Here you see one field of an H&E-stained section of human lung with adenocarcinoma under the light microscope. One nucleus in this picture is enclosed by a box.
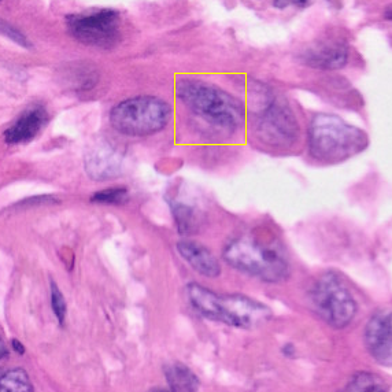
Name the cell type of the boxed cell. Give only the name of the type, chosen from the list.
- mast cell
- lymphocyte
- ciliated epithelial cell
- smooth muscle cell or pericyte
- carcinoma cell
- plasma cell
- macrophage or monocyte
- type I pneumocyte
carcinoma cell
